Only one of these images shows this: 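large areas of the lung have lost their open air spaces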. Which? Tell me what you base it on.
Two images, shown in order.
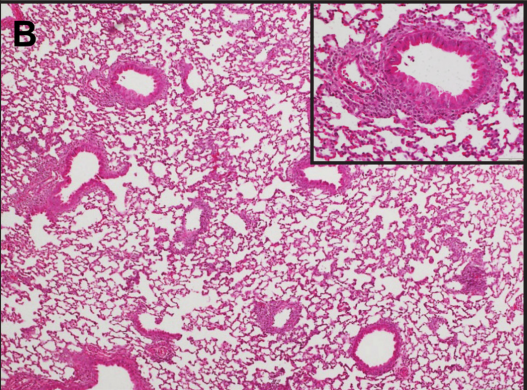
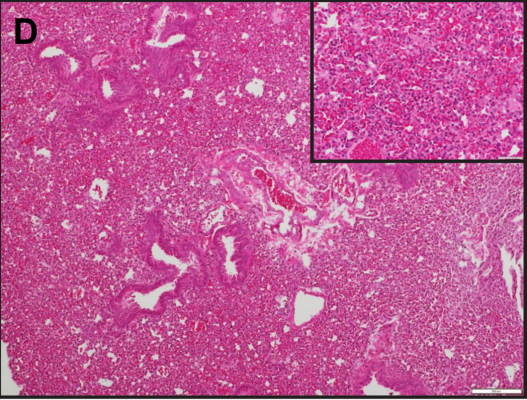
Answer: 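Second image: most of the field is solid, densely cellular pink tissue with few air spaces. First image: the alveoli are open throughout, giving a lacy pattern of thin septa. So: the second image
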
